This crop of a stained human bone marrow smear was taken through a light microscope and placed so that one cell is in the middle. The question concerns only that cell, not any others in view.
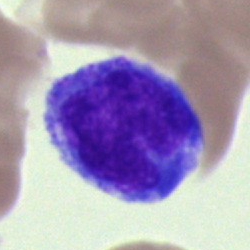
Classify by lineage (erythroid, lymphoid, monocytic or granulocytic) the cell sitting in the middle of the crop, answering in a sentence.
Recorded as monocytic in lineage is the cell in the middle of the crop.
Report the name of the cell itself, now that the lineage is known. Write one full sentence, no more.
The middle position in this crop is taken by a monocyte.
